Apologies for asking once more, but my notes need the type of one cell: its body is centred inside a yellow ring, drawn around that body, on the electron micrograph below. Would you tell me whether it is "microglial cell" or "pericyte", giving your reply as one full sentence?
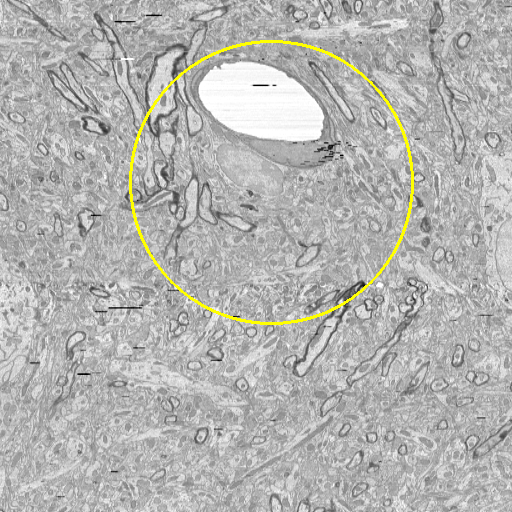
The cell that the yellow ring is centred on is a microglial cell in this micrograph.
